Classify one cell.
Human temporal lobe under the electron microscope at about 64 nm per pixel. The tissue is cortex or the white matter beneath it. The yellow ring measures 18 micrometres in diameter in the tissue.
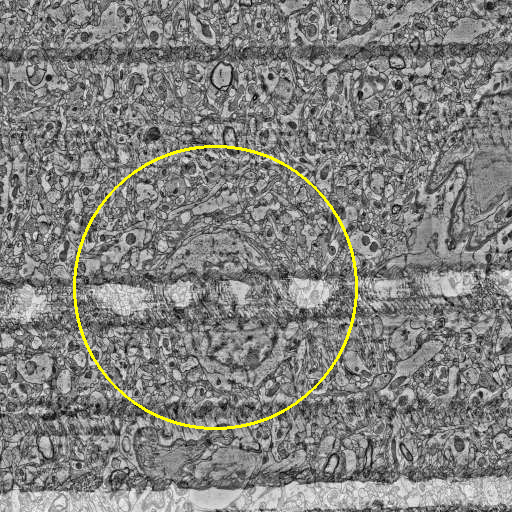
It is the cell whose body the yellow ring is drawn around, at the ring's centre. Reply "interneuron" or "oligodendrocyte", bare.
interneuron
